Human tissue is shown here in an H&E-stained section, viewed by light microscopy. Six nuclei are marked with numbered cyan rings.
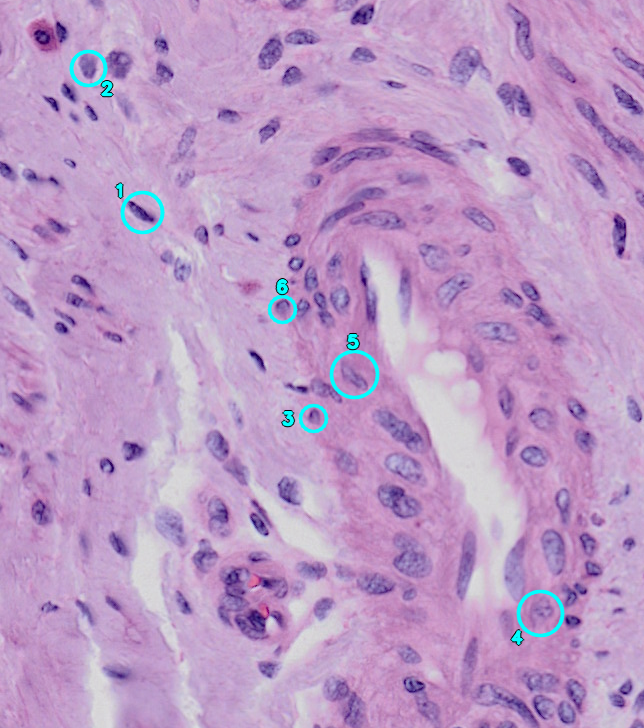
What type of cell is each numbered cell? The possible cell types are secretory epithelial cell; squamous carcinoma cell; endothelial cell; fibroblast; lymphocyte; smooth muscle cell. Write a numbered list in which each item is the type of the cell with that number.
1. fibroblast
2. fibroblast
3. smooth muscle cell
4. smooth muscle cell
5. smooth muscle cell
6. smooth muscle cell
